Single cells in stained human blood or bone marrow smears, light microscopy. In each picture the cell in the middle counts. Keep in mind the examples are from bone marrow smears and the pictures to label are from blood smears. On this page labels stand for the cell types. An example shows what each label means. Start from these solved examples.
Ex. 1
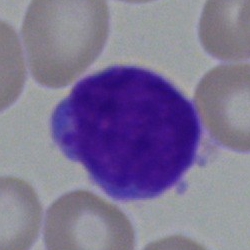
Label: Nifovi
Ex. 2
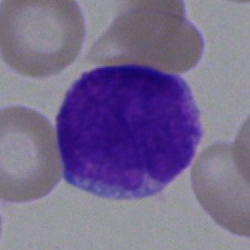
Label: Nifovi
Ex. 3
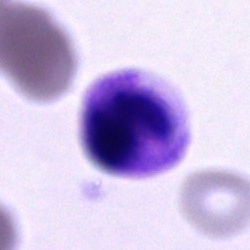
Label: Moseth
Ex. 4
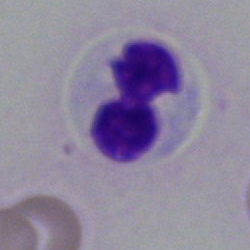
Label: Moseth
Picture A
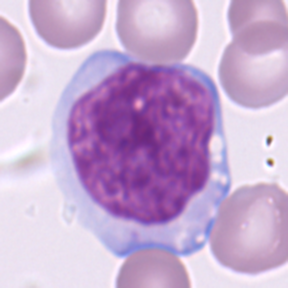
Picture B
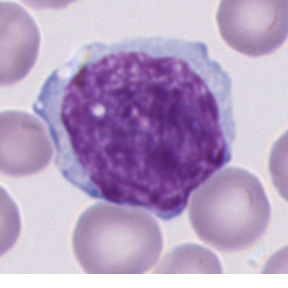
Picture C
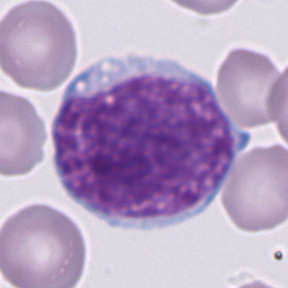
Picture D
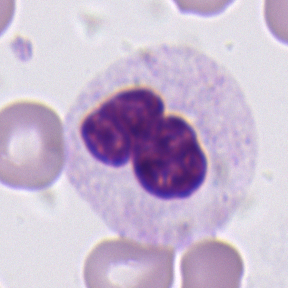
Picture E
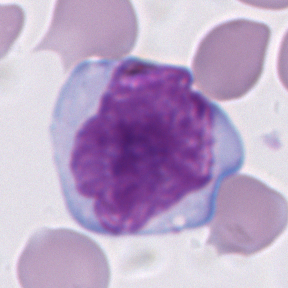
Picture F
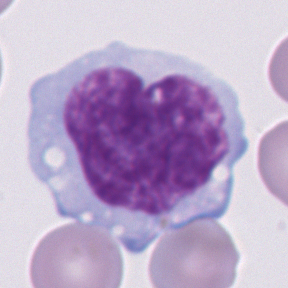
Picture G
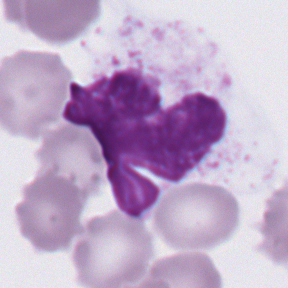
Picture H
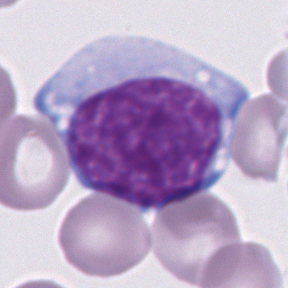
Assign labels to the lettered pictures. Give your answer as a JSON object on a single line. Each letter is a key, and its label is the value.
{"A": "Nifovi", "B": "Nifovi", "C": "Nifovi", "D": "Moseth", "E": "Nifovi", "F": "Nifovi", "G": "Moseth", "H": "Nifovi"}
